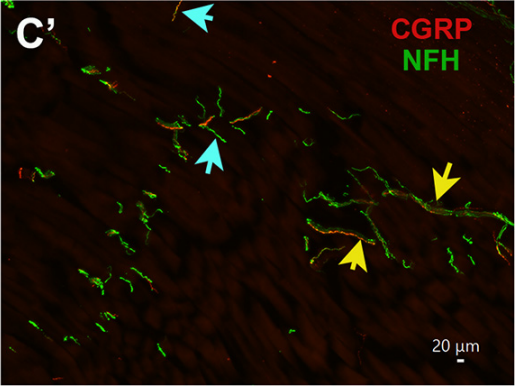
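This is skeletal muscle with nerve fibers threading through it. The muscle forms a dim reddish background of parallel fibers, and across it run many short, thin, wavy green nerve fibers, some with red along them. On the right, a longer and thicker branching bundle of fibers crosses the field, while the thin single fibers lie scattered around it.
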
